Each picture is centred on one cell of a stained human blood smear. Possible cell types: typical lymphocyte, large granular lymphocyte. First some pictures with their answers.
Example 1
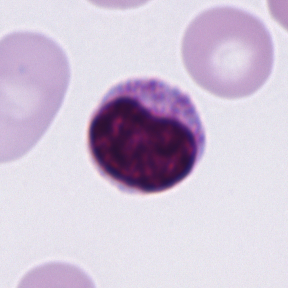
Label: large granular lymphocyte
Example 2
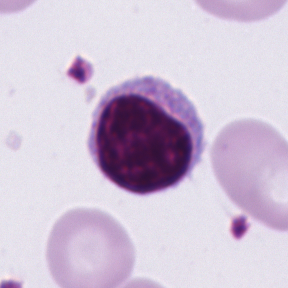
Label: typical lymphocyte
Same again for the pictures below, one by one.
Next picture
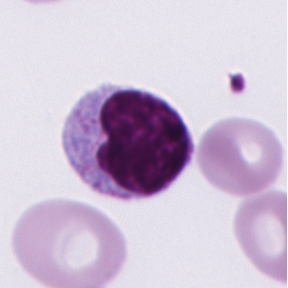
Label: large granular lymphocyte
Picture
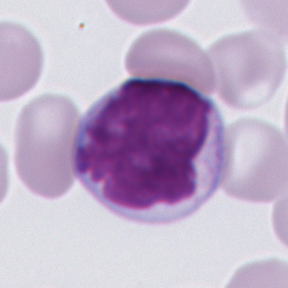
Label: large granular lymphocyte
